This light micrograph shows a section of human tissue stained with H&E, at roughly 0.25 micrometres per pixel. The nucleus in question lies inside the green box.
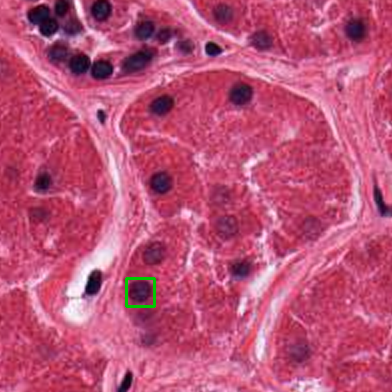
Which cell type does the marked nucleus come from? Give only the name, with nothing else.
proximal tubule cell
